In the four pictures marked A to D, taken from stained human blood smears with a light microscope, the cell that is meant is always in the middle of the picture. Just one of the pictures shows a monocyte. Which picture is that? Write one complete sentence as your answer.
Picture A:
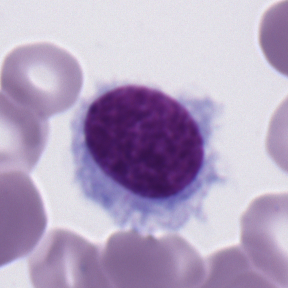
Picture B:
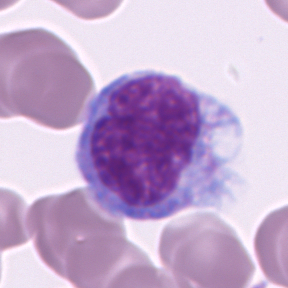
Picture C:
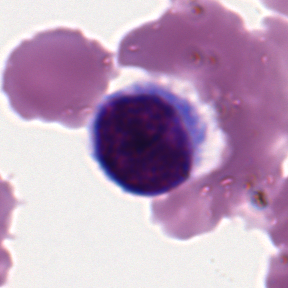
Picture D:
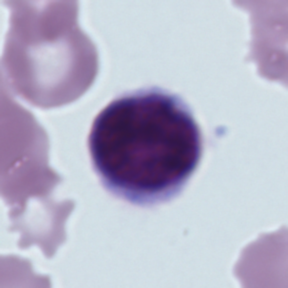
Picture B shows the monocyte.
